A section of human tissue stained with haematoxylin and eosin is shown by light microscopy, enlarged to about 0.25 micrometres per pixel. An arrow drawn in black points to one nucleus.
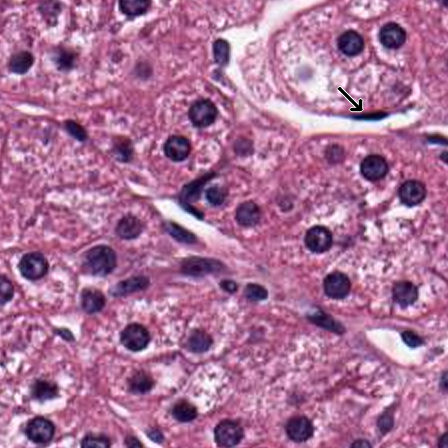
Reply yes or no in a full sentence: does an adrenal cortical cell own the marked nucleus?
No, the marked nucleus does not belong to an adrenal cortical cell; it belongs to a supporting cell.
